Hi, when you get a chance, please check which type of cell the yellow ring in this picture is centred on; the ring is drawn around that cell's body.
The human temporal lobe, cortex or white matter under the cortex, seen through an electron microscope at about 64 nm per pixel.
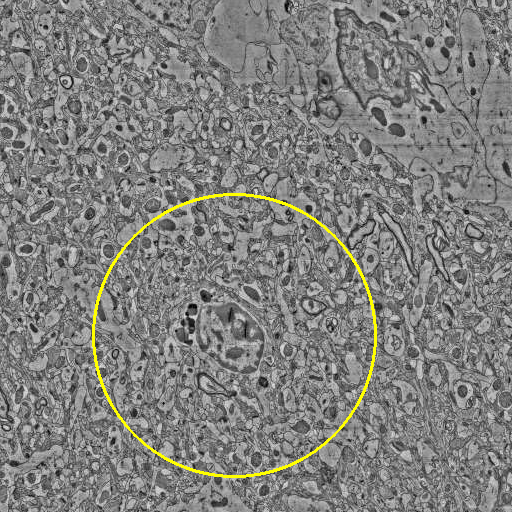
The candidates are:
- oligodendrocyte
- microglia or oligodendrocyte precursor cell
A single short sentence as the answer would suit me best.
The ring is drawn around the body of a microglial cell or oligodendrocyte precursor cell.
